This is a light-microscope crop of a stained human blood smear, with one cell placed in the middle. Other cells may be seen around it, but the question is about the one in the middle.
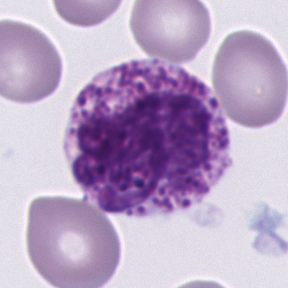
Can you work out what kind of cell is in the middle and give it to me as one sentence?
As for the cell in the middle, it is a basophil.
